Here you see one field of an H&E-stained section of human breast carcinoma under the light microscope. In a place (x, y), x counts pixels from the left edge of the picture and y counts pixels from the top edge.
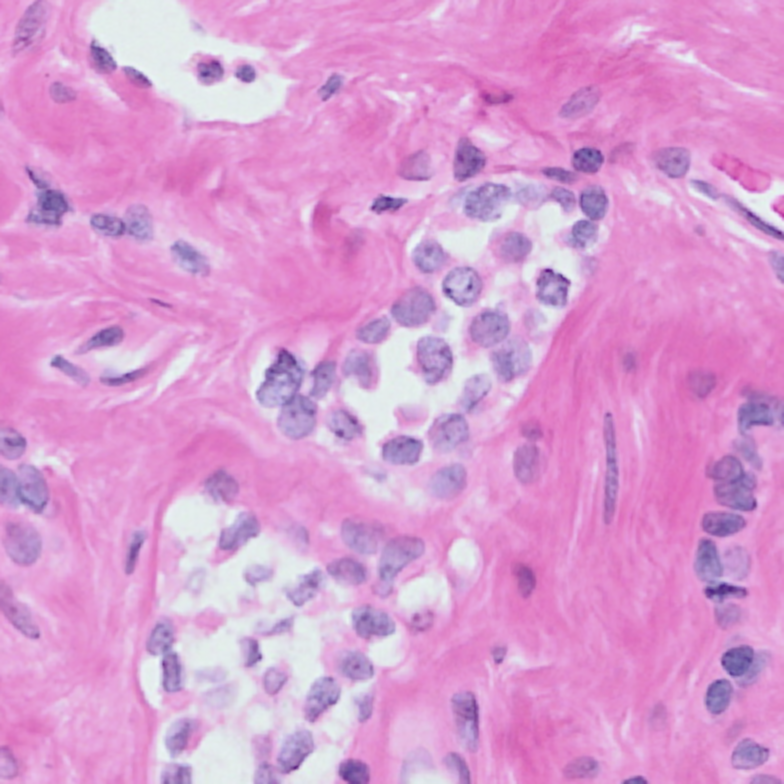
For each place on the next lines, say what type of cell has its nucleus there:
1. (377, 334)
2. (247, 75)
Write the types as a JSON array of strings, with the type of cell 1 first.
["carcinoma cell", "lymphocyte"]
